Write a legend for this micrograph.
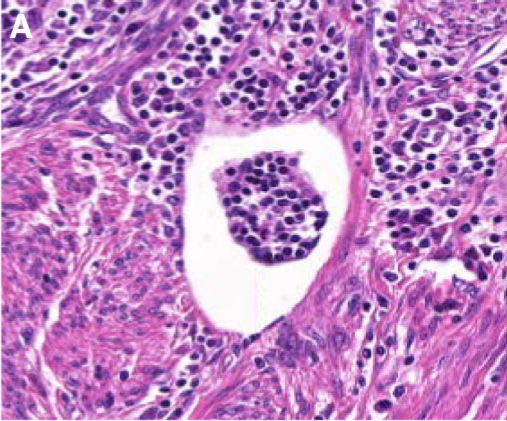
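A rounded clear space sits in pink, fibrillar stroma crowded with small round dark nuclei. Inside the space floats a compact cluster of cells with dark, rounded nuclei and scant cytoplasm, whose nature is not clear from their appearance alone.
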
